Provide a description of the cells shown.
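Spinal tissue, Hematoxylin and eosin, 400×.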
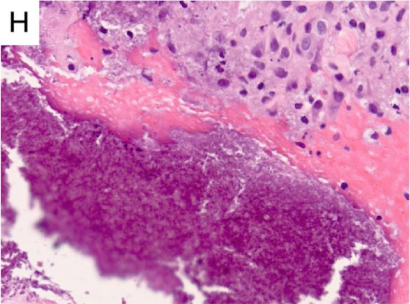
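A loosely formed purple aggregate of granular crystalline material occupies the lower part of the field, with clefts running through it. Above it lies a band of bright pink material, and beyond that a cellular area of histiocytes with oval to round nuclei and pale pink cytoplasm.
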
